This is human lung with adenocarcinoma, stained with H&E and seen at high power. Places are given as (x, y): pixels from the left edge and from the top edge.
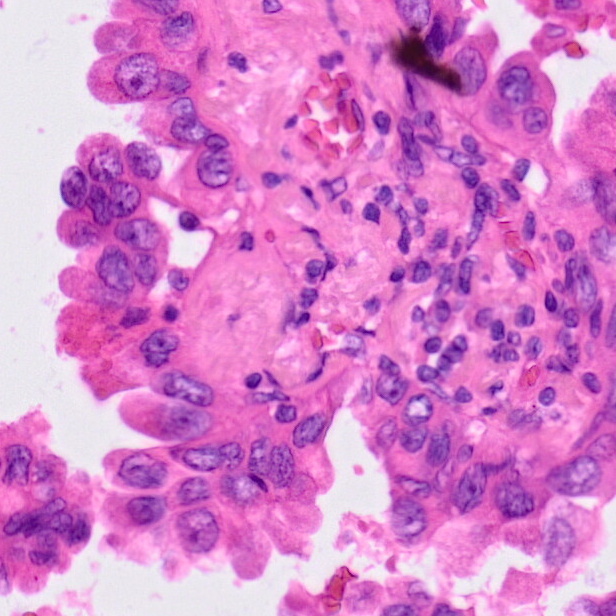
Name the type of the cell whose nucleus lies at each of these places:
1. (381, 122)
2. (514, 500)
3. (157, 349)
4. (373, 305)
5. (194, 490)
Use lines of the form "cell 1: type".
cell 1: lymphocyte
cell 2: carcinoma cell
cell 3: carcinoma cell
cell 4: lymphocyte
cell 5: carcinoma cell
